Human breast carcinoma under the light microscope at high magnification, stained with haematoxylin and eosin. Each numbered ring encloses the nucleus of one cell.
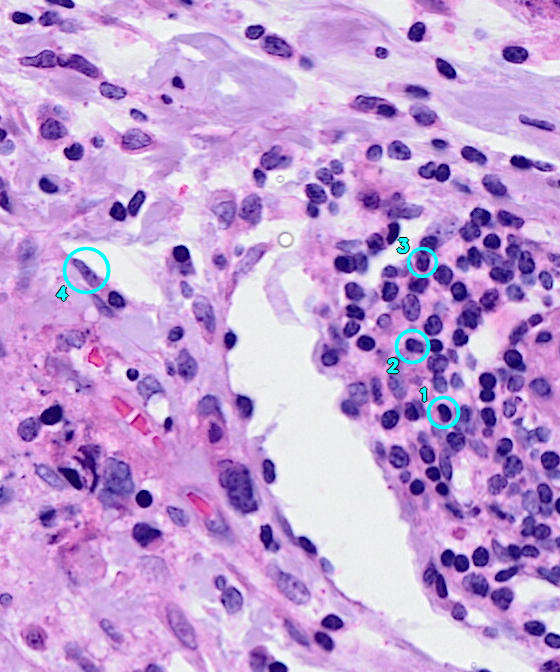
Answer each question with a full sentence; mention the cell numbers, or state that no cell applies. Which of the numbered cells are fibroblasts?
Only cell 4 is a fibroblast; none of the other numbered cells is.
